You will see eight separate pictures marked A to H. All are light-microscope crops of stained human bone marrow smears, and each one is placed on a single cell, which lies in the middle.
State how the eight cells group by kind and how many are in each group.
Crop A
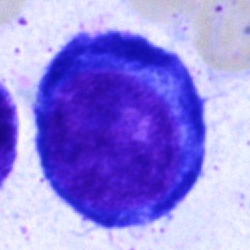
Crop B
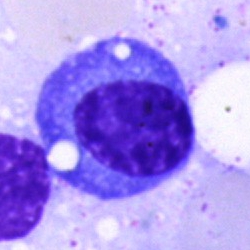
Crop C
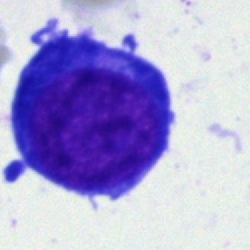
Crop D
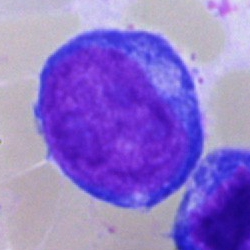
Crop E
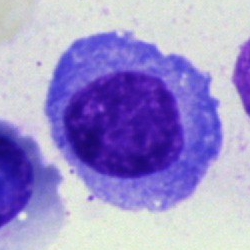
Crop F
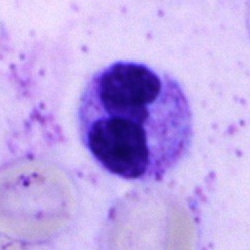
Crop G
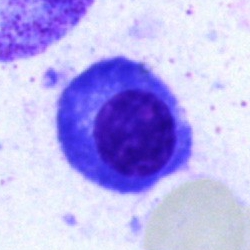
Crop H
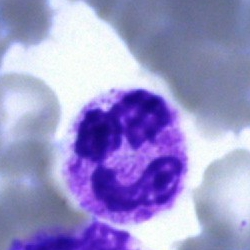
proerythroblast: 3
plasma cell: 3
segmented neutrophil: 2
